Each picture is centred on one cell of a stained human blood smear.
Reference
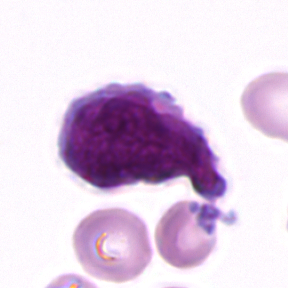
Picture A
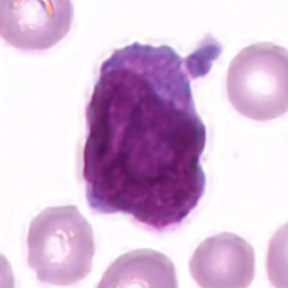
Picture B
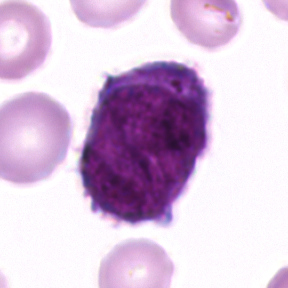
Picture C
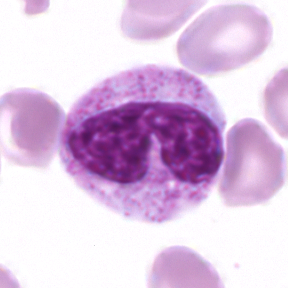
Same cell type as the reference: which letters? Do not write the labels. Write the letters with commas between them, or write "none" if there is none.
A, B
